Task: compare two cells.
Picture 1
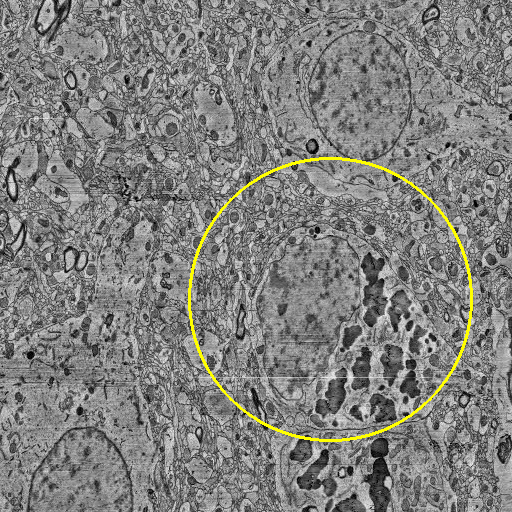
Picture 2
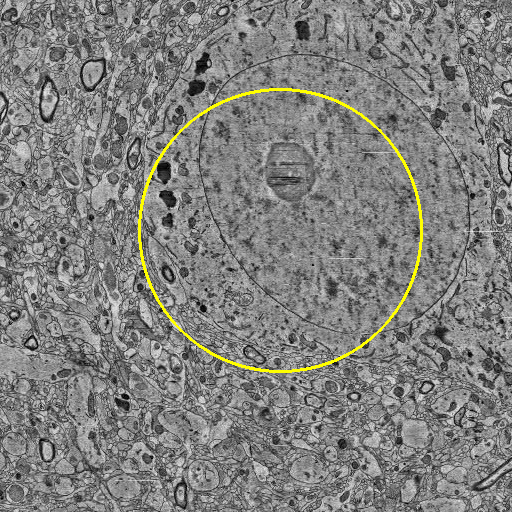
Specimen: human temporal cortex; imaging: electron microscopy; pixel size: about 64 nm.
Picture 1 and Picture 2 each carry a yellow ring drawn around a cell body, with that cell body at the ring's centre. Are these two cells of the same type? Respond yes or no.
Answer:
no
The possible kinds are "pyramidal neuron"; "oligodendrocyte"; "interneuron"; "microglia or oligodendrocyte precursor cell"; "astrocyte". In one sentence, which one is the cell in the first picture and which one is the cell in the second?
The cell ringed in the second picture is a pyramidal neuron, whereas the one ringed in the first is an interneuron.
